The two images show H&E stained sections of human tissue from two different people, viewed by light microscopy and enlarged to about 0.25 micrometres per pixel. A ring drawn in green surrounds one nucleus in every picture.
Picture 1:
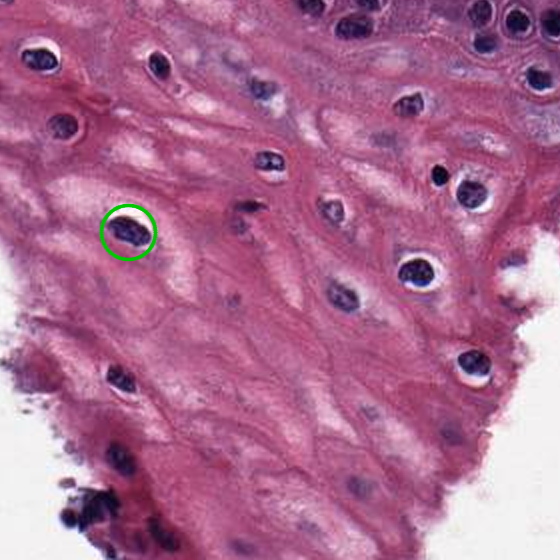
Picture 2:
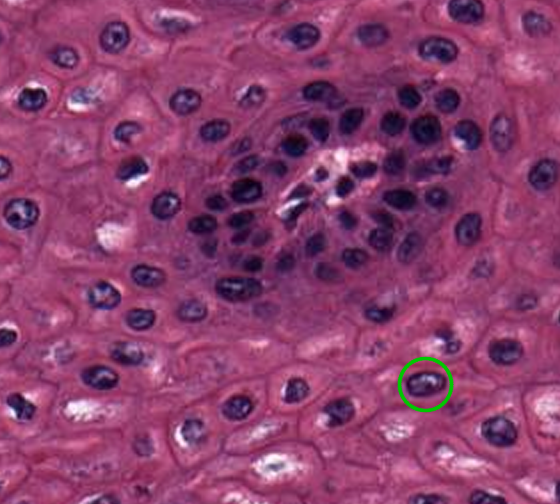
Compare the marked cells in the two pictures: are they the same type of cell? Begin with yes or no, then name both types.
Yes, both are squamous epithelial cells.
